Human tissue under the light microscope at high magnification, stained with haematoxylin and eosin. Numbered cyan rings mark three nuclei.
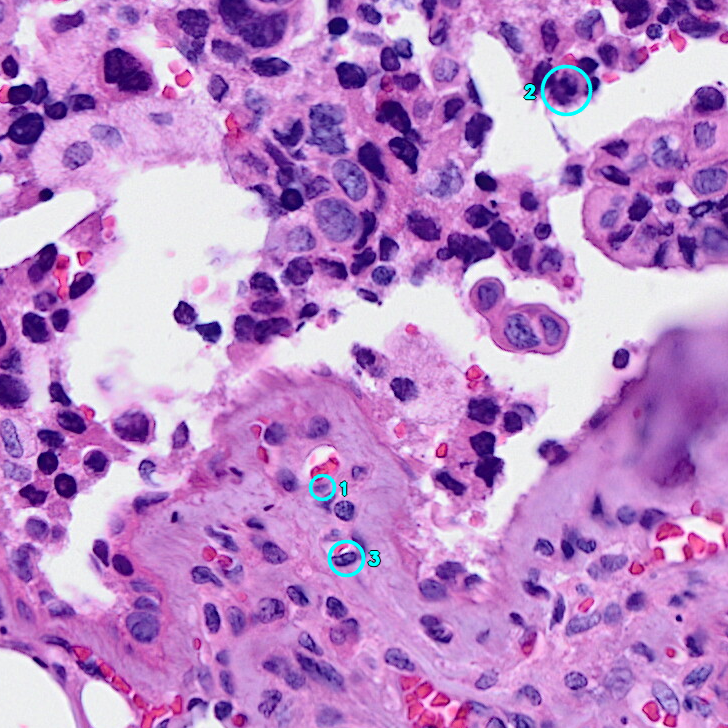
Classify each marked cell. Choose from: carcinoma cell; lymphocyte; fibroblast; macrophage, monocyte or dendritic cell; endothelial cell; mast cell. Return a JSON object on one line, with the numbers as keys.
{"1": "endothelial cell", "2": "carcinoma cell", "3": "endothelial cell"}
